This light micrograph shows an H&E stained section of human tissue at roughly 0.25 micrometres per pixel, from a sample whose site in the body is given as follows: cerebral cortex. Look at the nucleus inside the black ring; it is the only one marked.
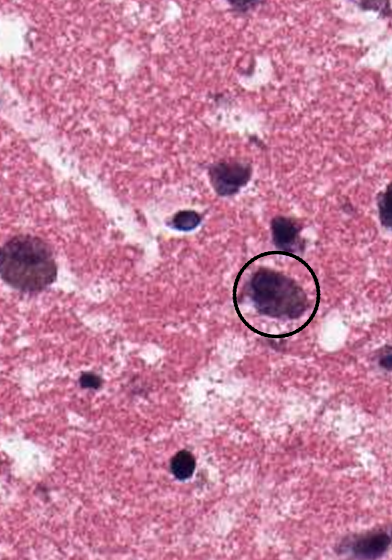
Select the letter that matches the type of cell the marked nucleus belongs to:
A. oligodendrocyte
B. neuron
B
